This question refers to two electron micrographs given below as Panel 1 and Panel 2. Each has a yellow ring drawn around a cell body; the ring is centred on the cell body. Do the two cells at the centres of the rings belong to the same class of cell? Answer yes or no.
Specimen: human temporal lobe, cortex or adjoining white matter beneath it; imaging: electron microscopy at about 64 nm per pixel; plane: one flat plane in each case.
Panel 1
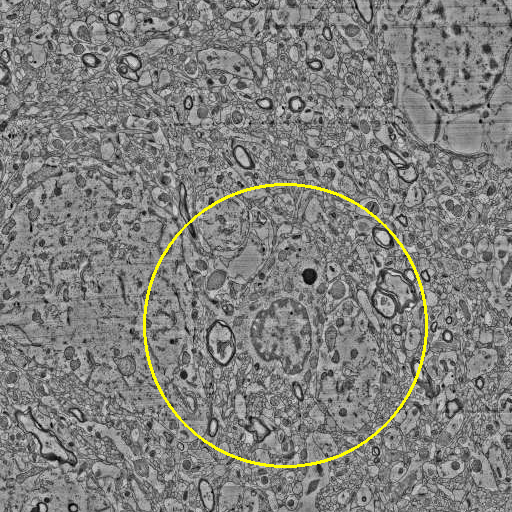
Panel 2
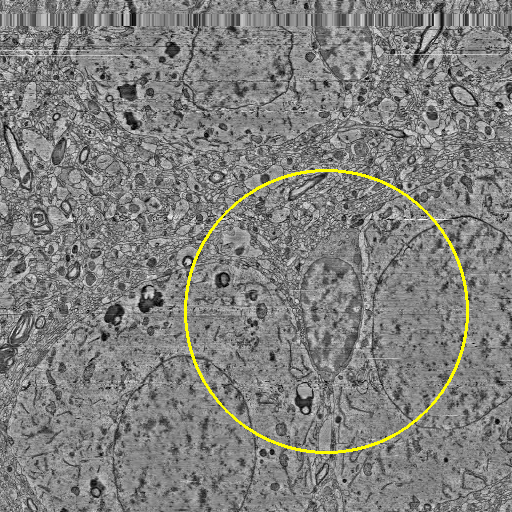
yes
